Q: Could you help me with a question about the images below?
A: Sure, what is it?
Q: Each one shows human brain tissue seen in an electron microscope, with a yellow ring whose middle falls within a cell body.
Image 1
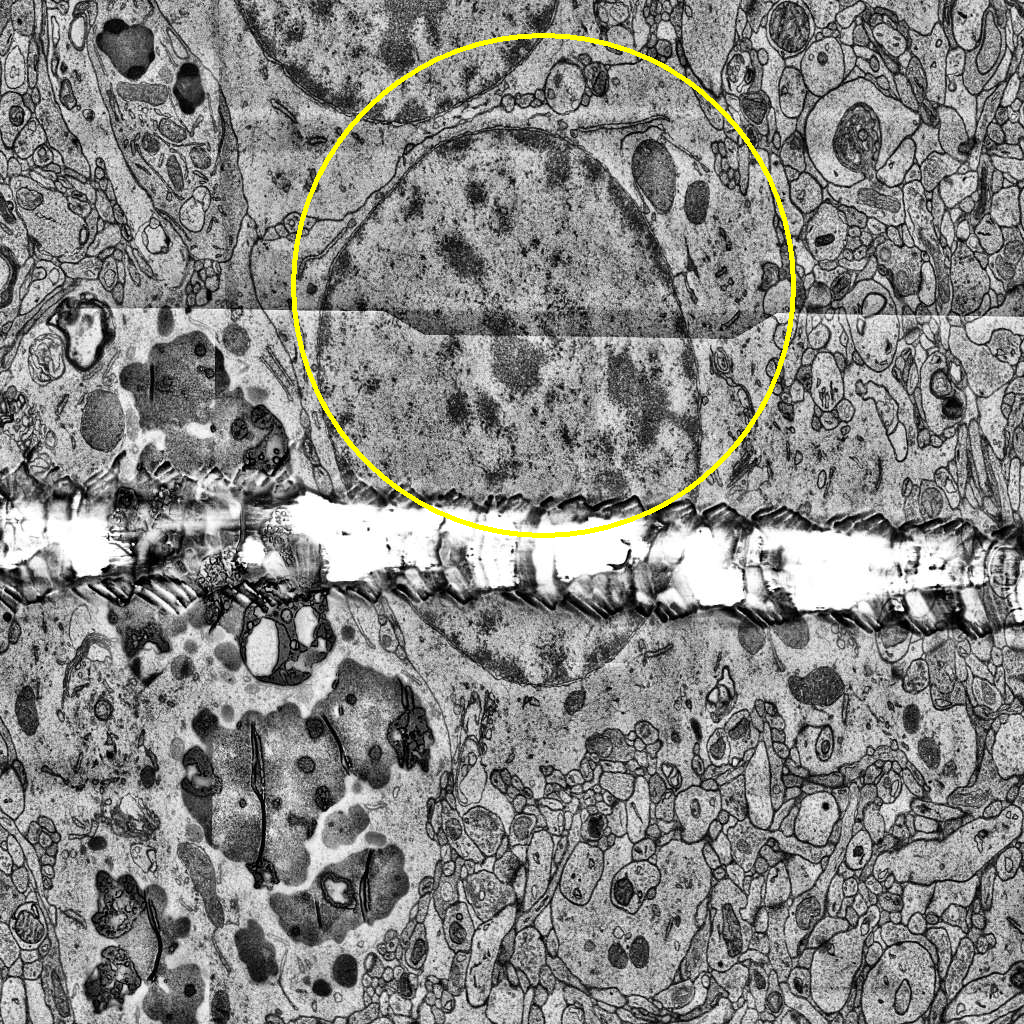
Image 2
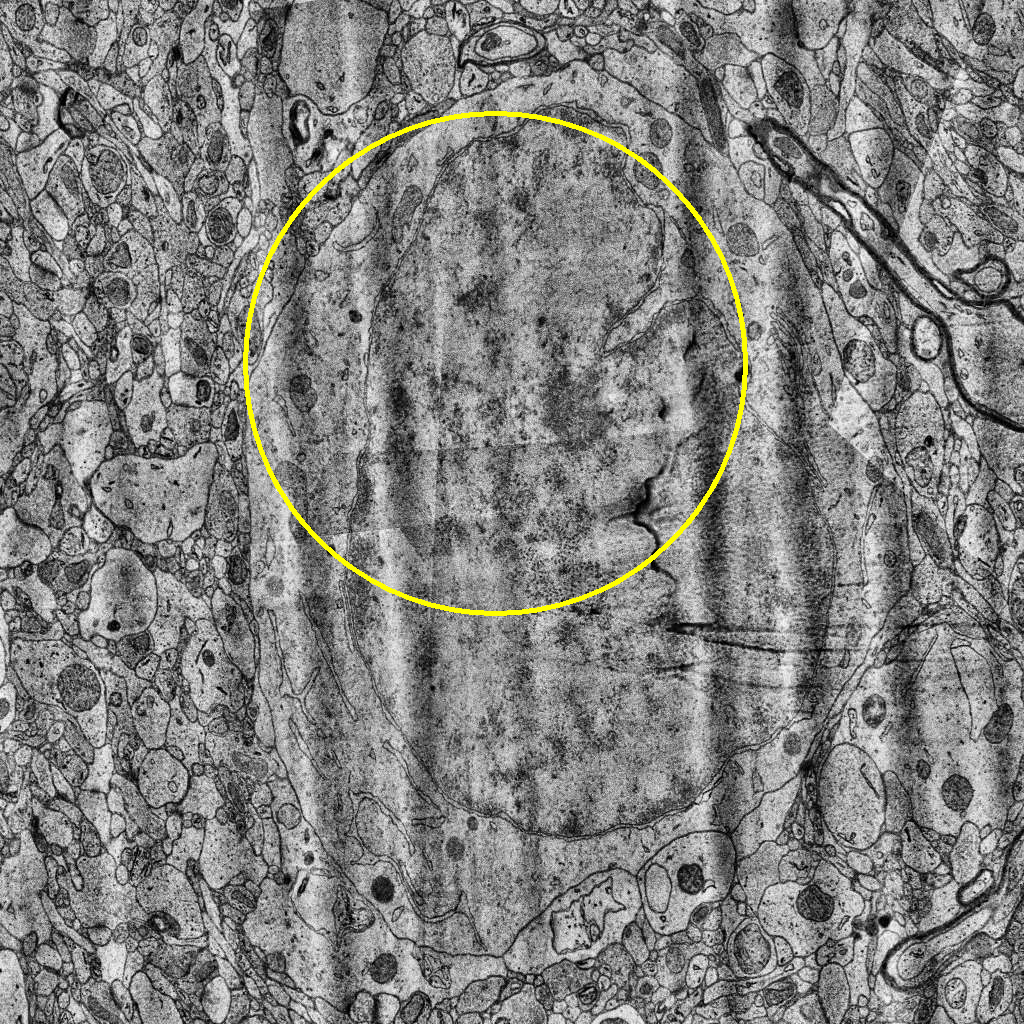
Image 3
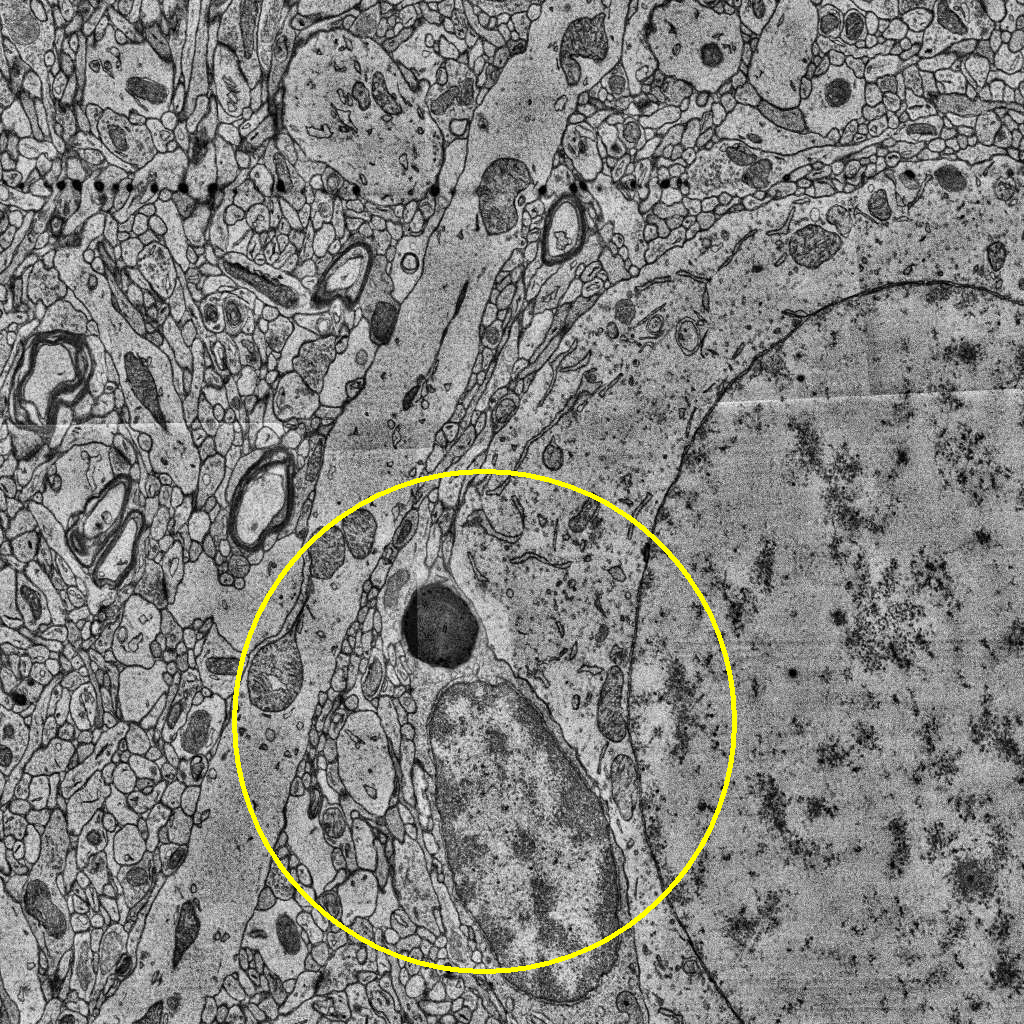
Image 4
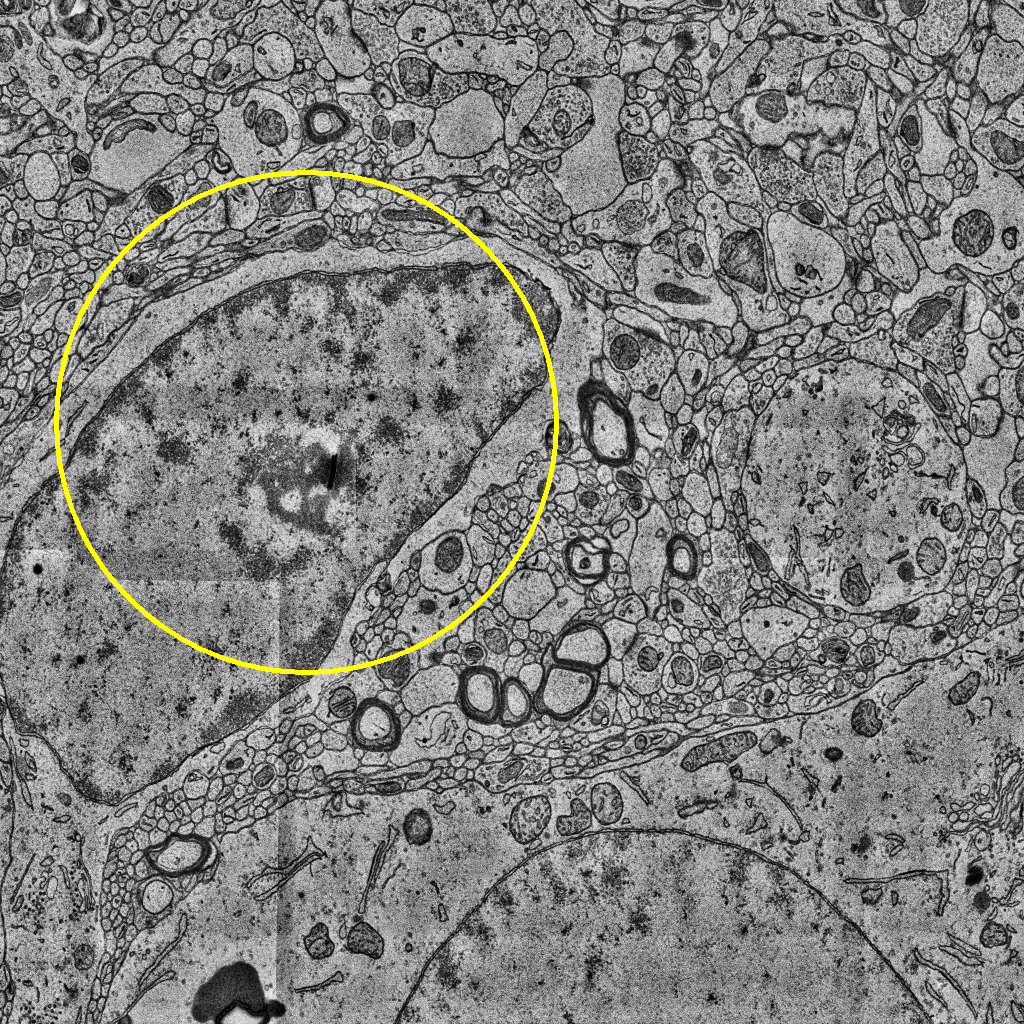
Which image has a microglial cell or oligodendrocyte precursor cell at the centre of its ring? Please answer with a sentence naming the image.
Image 4 has it at the centre of its ring.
